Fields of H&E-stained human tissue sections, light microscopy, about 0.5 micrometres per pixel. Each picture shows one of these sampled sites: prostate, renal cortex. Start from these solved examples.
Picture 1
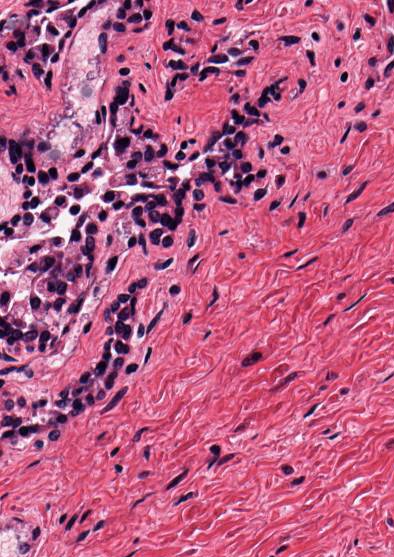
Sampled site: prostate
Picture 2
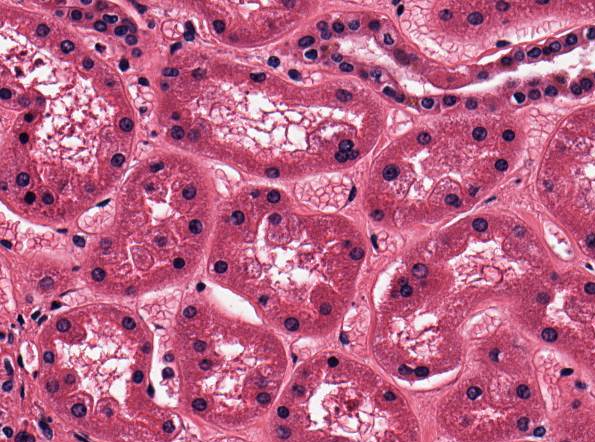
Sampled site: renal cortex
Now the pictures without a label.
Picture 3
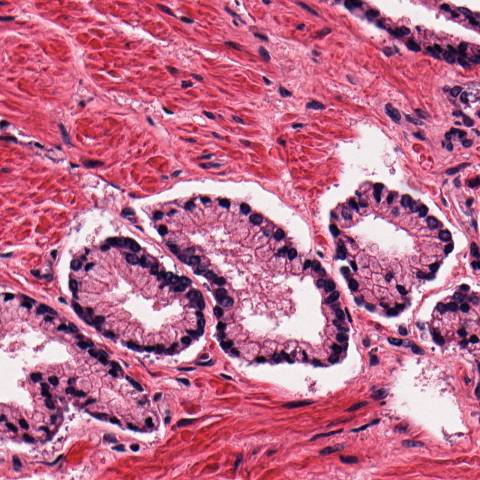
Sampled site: prostate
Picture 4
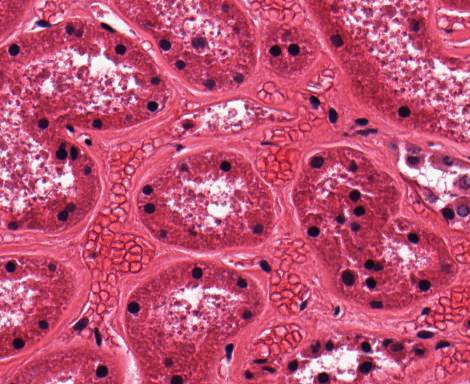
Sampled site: renal cortex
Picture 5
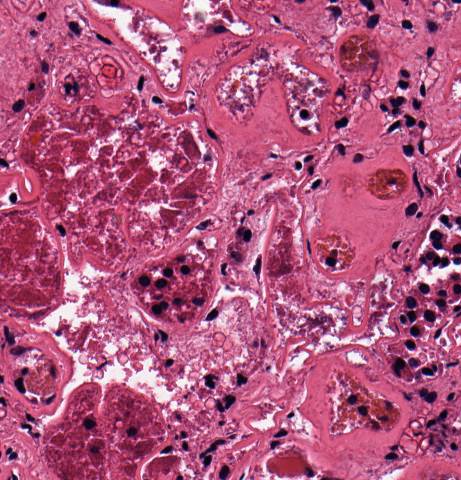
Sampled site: renal cortex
